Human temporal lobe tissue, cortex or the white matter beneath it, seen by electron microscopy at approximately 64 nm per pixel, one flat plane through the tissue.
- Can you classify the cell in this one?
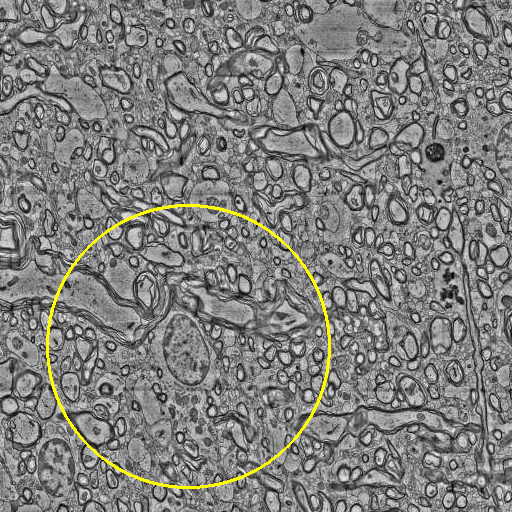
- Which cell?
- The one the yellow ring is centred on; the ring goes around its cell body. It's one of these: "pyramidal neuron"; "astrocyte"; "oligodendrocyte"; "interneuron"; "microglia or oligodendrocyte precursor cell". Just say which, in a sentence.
The cell body in the ring belongs to a microglial cell or oligodendrocyte precursor cell.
